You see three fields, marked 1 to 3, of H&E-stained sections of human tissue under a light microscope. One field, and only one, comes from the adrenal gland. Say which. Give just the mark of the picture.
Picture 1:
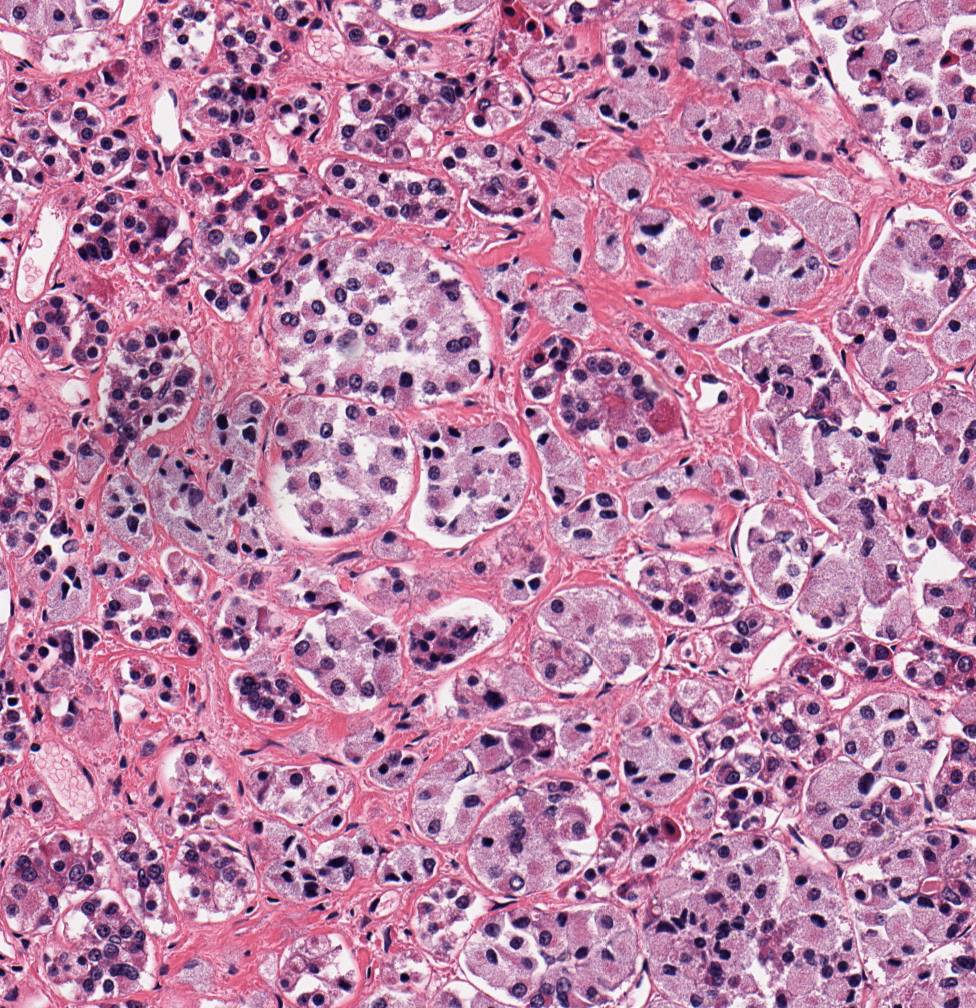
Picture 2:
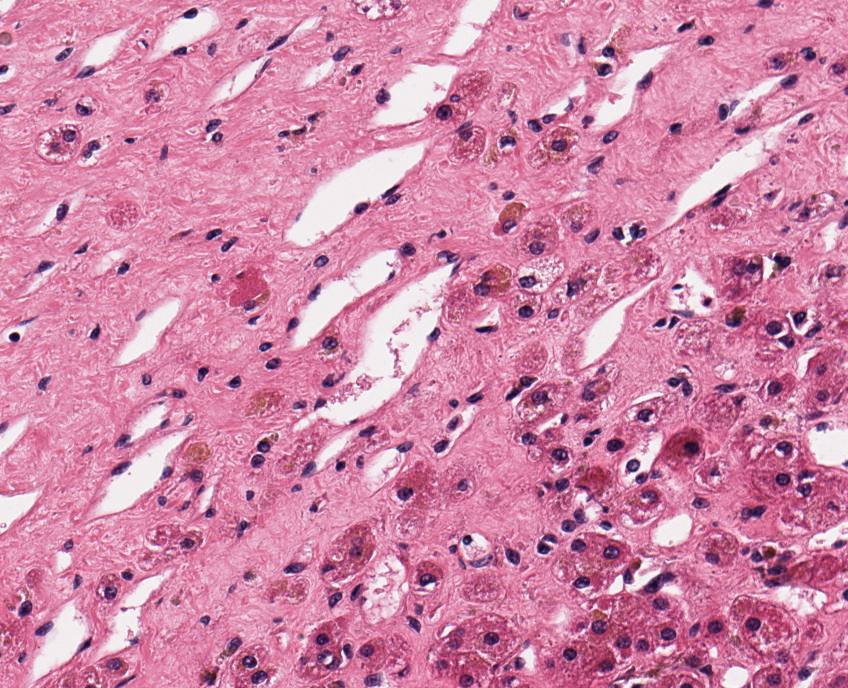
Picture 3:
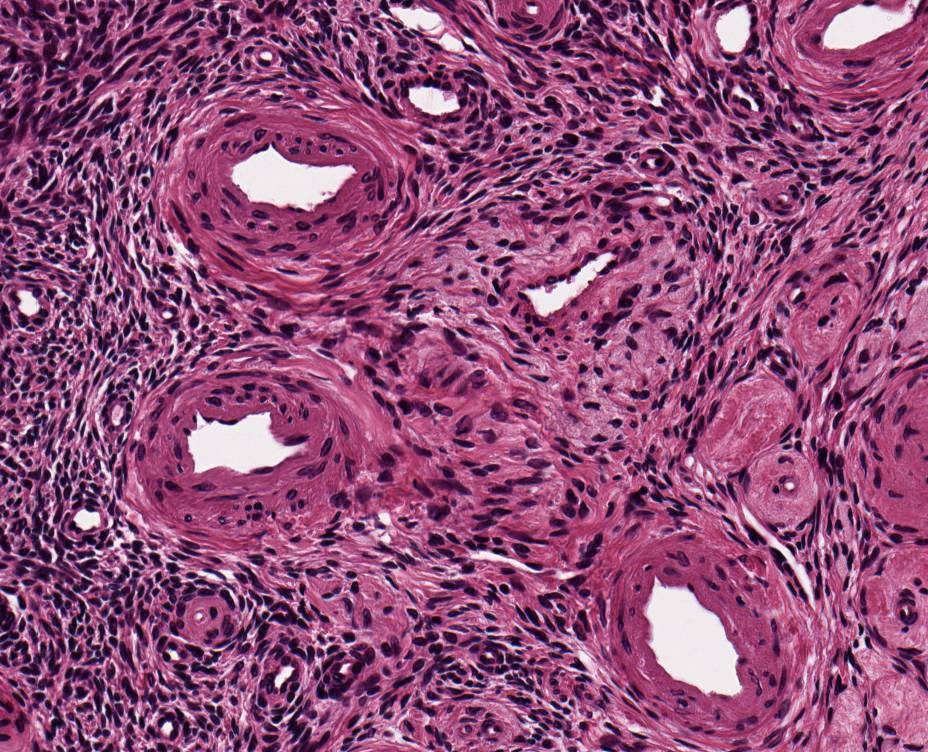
2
